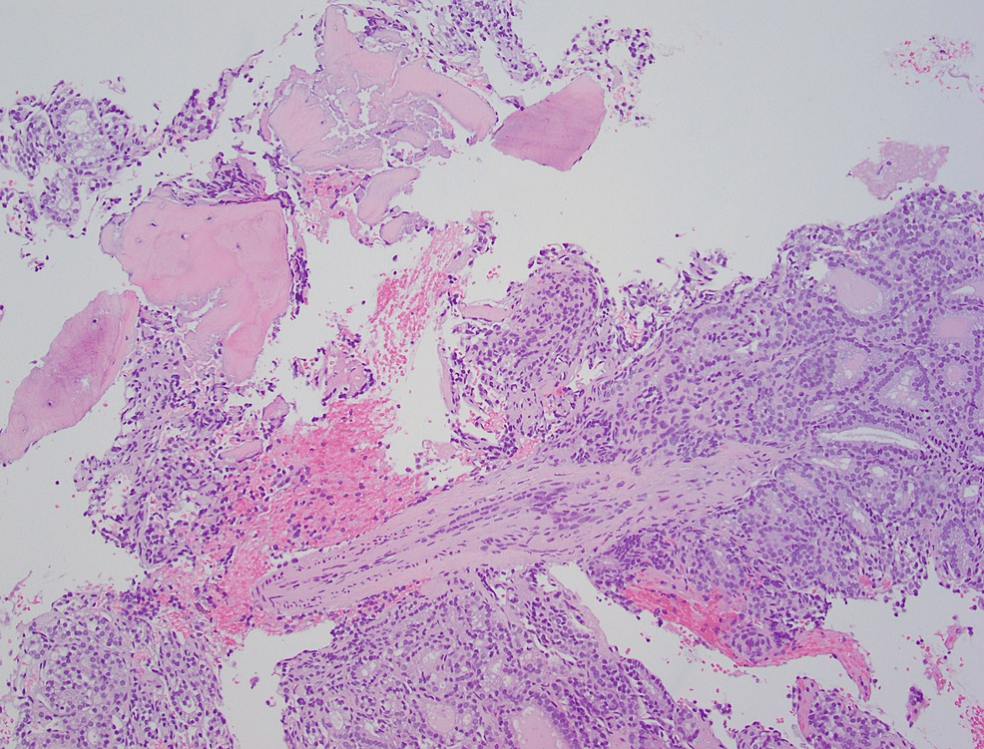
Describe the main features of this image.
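Carcinoma with follicular morphology. Crowded epithelial cells form many small follicles. Some follicles hold pale pink, homogeneous colloid, and others are slit-like and empty. Cells are cuboidal, with round, somewhat enlarged nuclei and modest pale pink cytoplasm. Sheets of tumour lie on either side of a band of fibrous tissue that contains a vessel running across the field. There are patches of fresh haemorrhage beside it. At the upper left, separate pink acellular fragments are scattered among loose tumour clusters. Some fragments show small lacunae.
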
